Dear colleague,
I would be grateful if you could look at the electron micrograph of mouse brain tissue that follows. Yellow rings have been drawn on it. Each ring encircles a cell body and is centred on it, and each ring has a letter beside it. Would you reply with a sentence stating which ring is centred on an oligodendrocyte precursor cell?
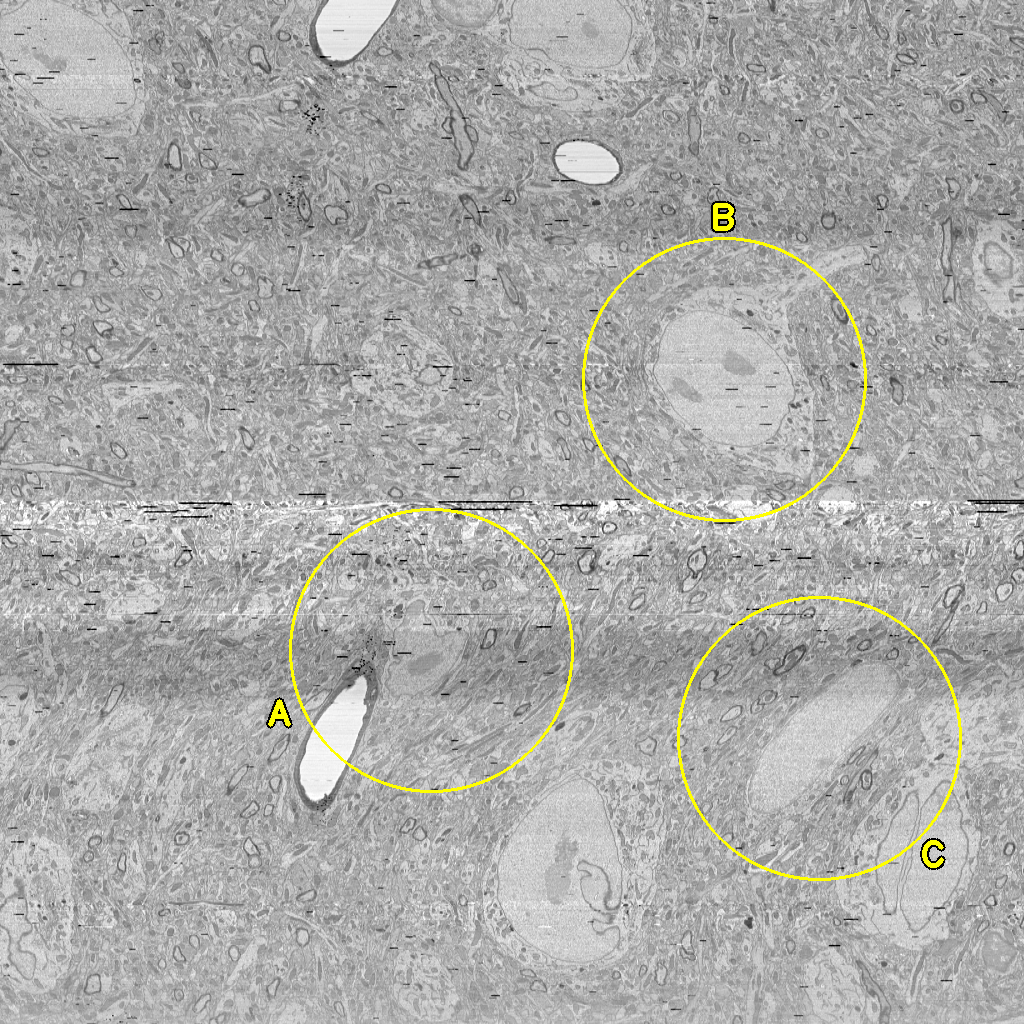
The ring centred on it is ring A.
